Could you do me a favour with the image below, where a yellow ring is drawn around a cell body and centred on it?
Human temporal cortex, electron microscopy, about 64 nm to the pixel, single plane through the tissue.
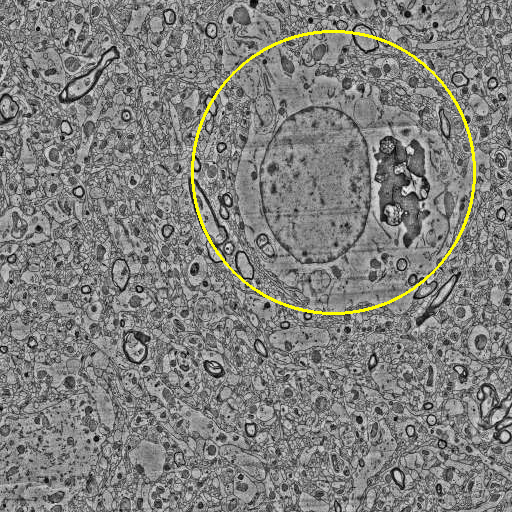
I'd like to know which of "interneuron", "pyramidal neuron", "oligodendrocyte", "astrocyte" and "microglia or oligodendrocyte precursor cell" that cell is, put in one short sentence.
The cell at the ring's centre is an astrocyte.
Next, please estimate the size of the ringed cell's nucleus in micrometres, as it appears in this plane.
The nucleus measures about 10 by 7 micrometres in this plane.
